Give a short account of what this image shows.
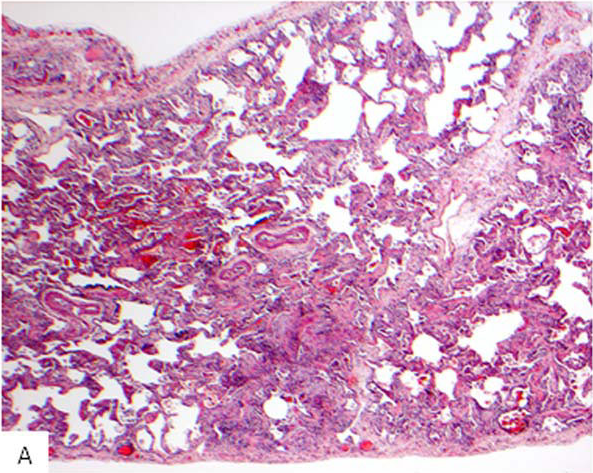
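Lung at low power, where the alveolar walls are diffusely and fairly evenly thickened by pink fibrous tissue dotted with dark nuclei. The airspaces are narrowed and irregular. Thick-walled vessels and a pleural surface along the top edge are visible.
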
